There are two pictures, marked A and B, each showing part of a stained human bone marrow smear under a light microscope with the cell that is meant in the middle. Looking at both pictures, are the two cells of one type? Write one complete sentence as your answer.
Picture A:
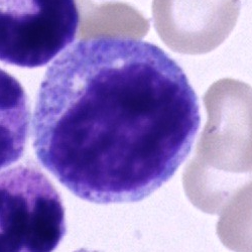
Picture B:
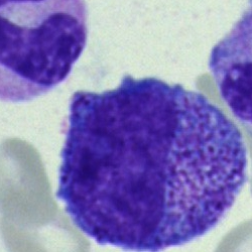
Yes, they are the same type: both are promyelocytes.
